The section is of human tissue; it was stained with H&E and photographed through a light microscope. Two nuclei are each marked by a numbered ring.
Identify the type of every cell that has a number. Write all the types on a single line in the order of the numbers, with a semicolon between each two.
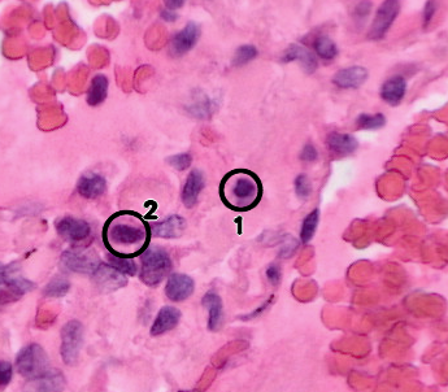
lymphocyte; plasma cell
